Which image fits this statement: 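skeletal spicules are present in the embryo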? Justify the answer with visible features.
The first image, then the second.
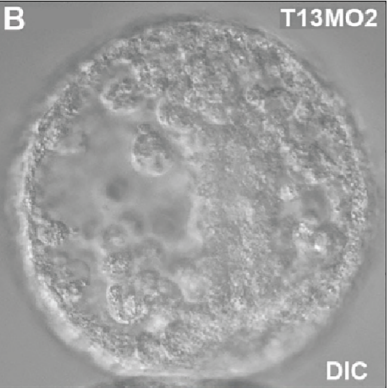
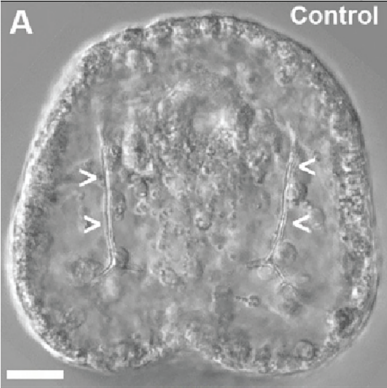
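First image: a rounded embryo with no rod-like refractile structures inside. Second image: thin refractile rods run along both sides of the embryo interior.
Conclusion: the second image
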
